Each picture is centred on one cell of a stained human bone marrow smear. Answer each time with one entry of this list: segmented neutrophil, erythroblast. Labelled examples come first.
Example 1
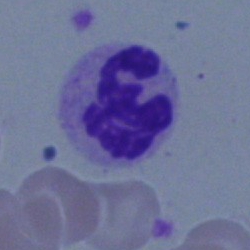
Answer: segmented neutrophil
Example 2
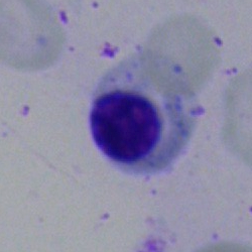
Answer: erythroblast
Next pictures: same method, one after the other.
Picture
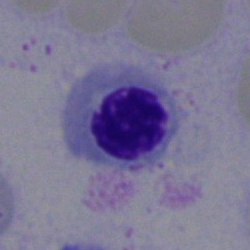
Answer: erythroblast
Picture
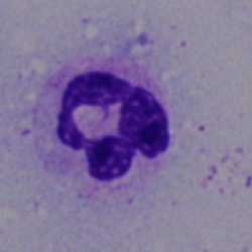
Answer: segmented neutrophil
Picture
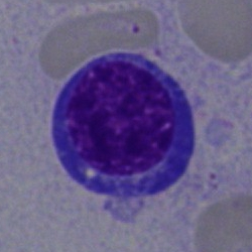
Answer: erythroblast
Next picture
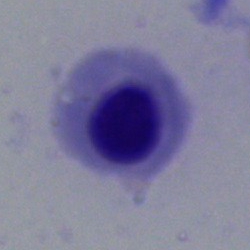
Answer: erythroblast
